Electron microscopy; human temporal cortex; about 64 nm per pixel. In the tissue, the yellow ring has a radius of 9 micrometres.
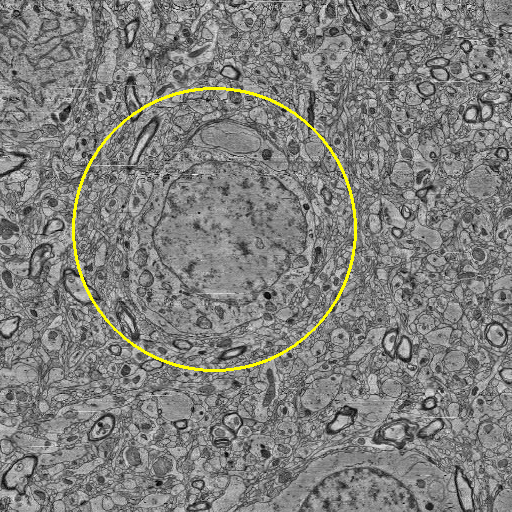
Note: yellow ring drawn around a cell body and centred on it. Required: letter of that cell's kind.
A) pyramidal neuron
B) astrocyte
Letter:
A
